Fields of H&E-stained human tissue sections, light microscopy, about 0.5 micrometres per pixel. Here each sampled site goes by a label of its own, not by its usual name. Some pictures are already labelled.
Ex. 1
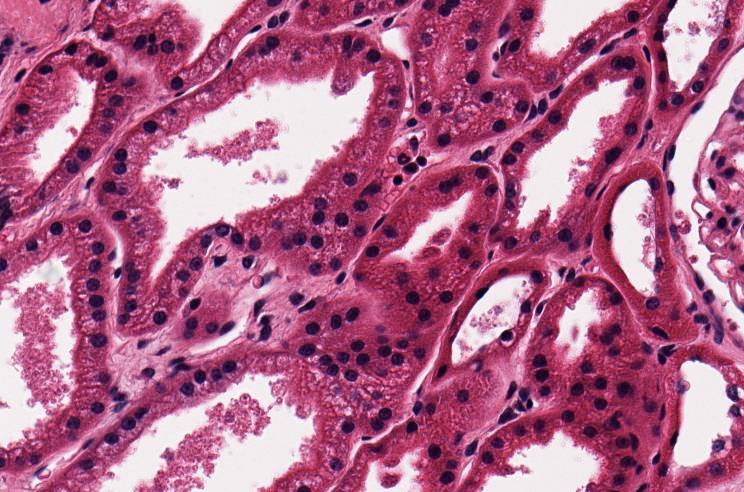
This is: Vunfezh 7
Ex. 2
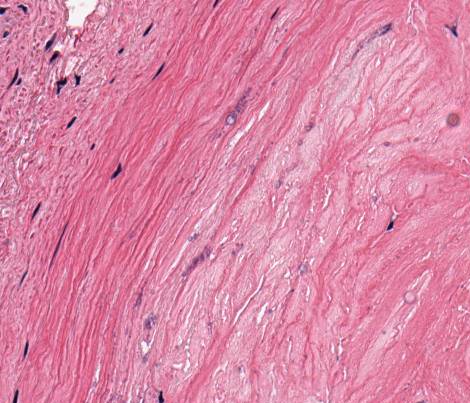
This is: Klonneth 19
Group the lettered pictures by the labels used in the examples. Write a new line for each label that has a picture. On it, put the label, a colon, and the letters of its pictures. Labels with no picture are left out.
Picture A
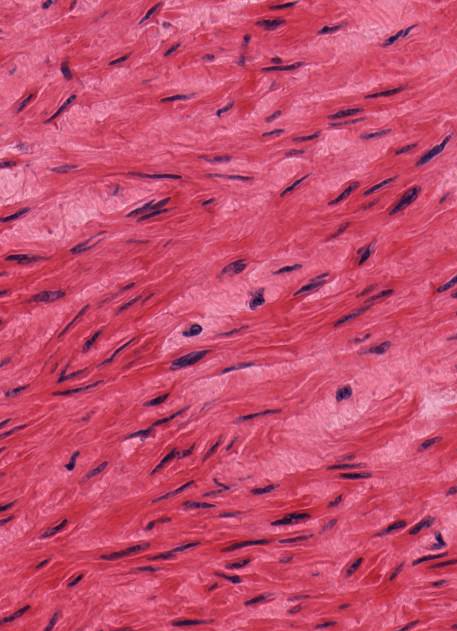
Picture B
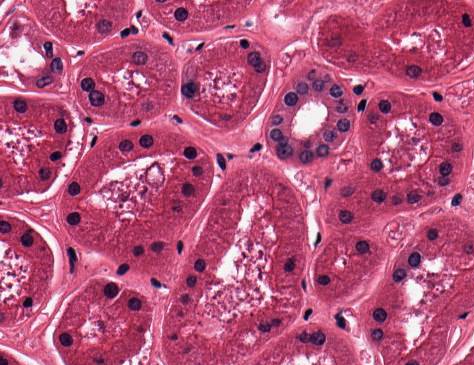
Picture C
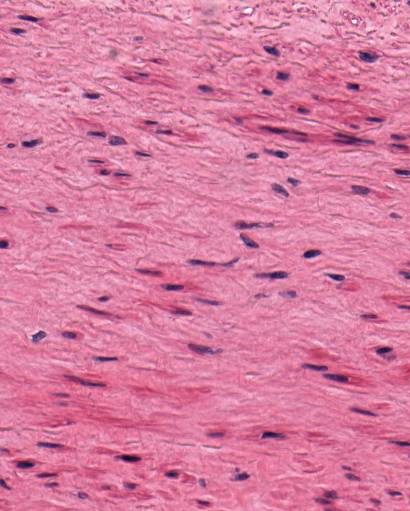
Vunfezh 7: B
Klonneth 19: A, C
